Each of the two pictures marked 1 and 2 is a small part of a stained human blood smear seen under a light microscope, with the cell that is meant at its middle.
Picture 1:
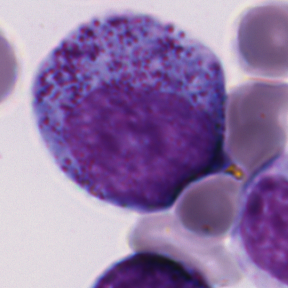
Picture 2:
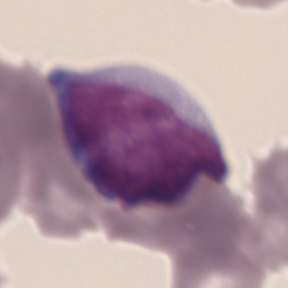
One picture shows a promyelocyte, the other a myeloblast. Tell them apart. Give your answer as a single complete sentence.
Picture 1 shows a promyelocyte and picture 2 shows a myeloblast.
